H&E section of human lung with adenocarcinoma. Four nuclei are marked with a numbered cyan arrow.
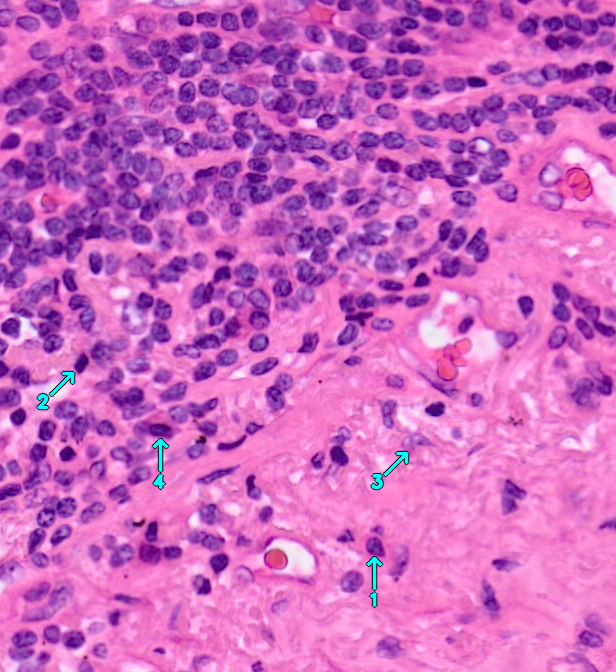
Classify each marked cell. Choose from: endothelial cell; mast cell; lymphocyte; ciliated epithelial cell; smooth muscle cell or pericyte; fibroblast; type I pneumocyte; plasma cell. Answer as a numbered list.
1. mast cell
2. lymphocyte
3. fibroblast
4. plasma cell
